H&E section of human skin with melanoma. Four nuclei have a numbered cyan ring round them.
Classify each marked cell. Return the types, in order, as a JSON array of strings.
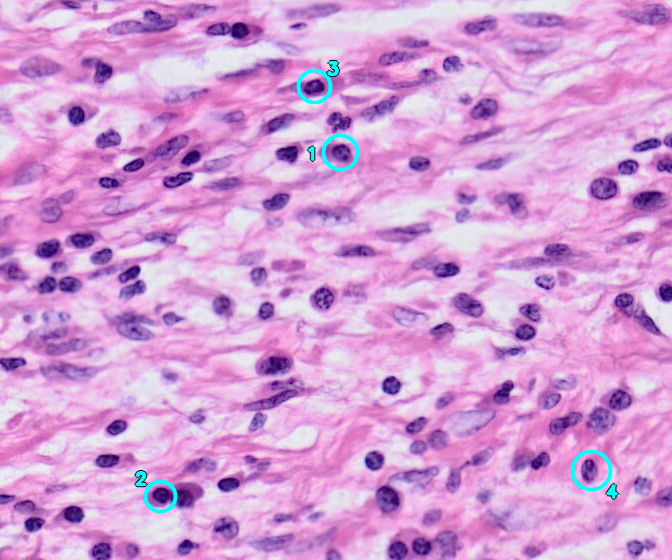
["plasma cell", "plasma cell", "plasma cell", "lymphocyte"]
